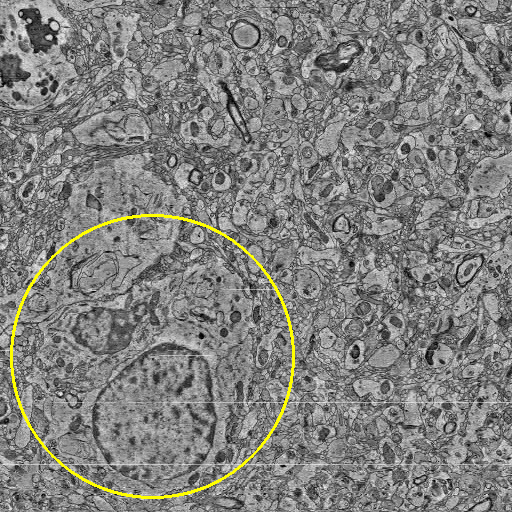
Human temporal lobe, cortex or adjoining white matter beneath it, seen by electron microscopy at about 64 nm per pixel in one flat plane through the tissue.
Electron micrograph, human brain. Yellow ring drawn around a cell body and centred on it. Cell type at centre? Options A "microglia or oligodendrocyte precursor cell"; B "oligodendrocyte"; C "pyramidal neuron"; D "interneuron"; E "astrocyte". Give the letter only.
E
